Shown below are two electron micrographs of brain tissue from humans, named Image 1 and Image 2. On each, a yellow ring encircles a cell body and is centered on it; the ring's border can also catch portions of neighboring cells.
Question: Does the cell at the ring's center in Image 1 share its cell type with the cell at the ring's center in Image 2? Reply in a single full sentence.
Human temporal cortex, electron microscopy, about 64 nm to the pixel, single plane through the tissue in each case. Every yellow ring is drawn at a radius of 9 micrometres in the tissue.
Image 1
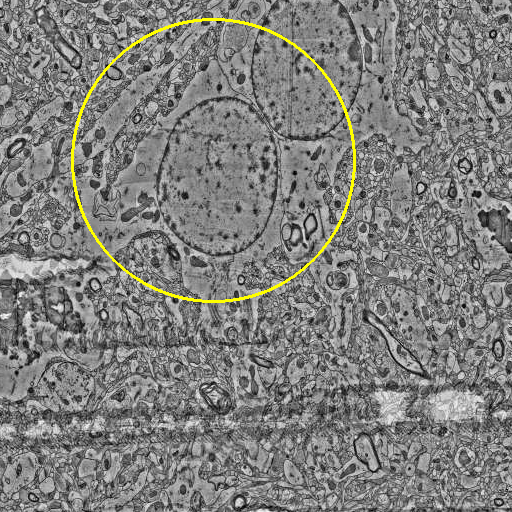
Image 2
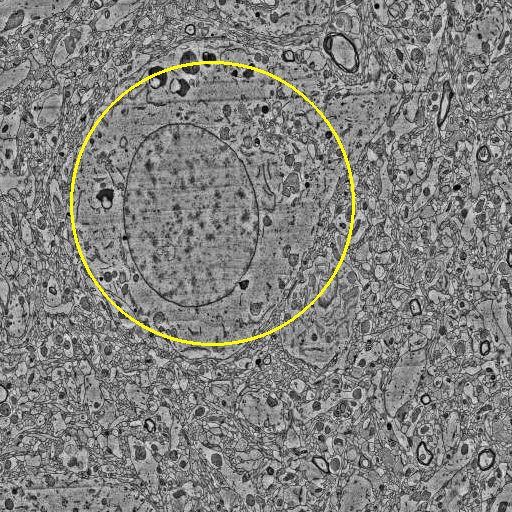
No, the two cells at the ring centers, in Image 1 and Image 2, are of two cell types.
